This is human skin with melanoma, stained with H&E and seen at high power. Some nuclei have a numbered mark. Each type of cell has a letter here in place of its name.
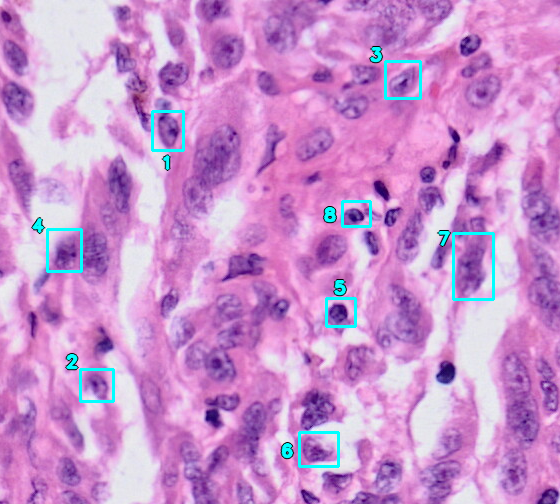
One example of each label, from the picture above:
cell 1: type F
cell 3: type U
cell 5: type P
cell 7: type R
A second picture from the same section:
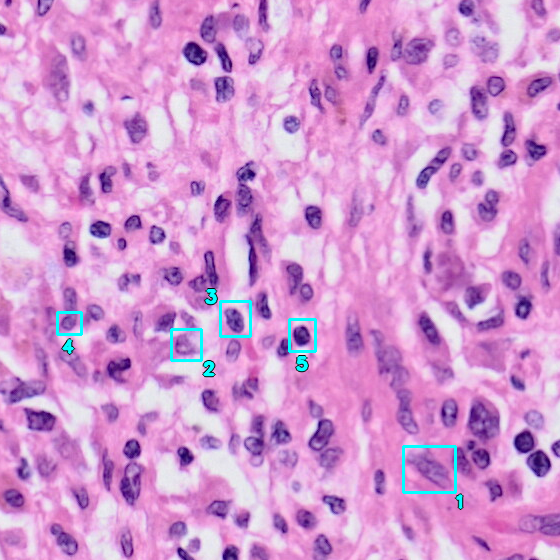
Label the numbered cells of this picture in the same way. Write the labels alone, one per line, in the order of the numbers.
type U
type R
type P
type F
type P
